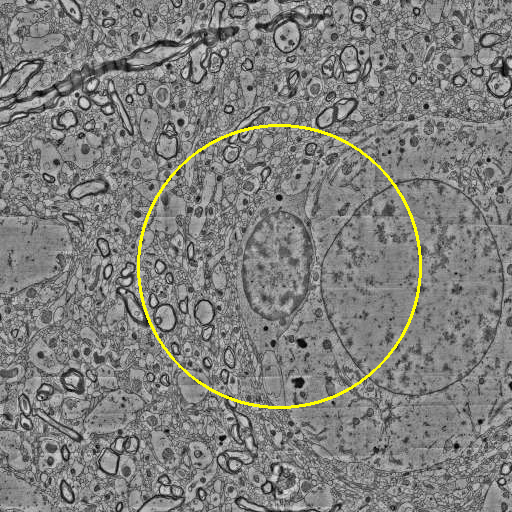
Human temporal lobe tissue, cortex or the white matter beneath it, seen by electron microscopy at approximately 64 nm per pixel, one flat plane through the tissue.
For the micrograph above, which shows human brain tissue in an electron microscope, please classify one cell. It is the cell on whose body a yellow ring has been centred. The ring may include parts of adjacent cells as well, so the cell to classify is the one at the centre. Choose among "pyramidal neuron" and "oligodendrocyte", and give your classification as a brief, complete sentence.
I classify this cell as an oligodendrocyte.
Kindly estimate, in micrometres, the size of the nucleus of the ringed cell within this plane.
Roughly 7 micrometres by 4 micrometres, so the nucleus is clearly longer than it is wide in this plane.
